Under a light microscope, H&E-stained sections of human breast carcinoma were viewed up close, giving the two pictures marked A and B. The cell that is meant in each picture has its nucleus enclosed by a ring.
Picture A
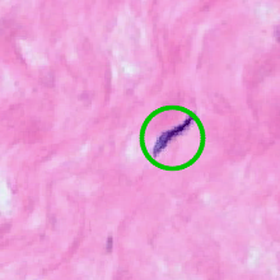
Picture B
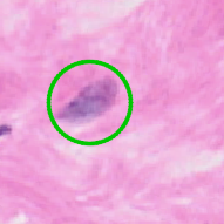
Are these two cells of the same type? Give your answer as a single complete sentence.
Yes; the cells in both pictures are fibroblasts.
